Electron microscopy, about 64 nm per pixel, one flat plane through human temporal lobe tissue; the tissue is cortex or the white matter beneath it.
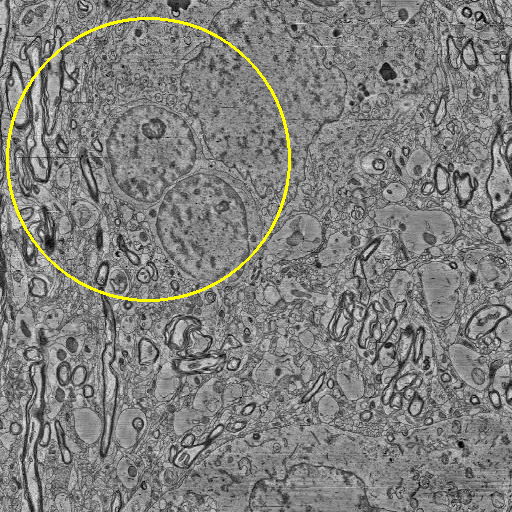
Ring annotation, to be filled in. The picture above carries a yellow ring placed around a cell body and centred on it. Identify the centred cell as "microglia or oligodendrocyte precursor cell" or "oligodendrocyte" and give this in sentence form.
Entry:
The cell in the middle of the ring is an oligodendrocyte.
